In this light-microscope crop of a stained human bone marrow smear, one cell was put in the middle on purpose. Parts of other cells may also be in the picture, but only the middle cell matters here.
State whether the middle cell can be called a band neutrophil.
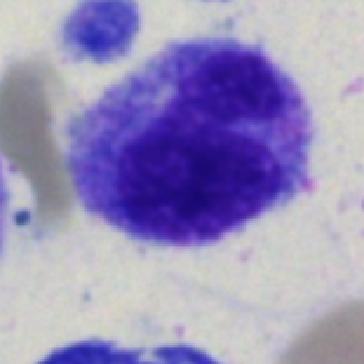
no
